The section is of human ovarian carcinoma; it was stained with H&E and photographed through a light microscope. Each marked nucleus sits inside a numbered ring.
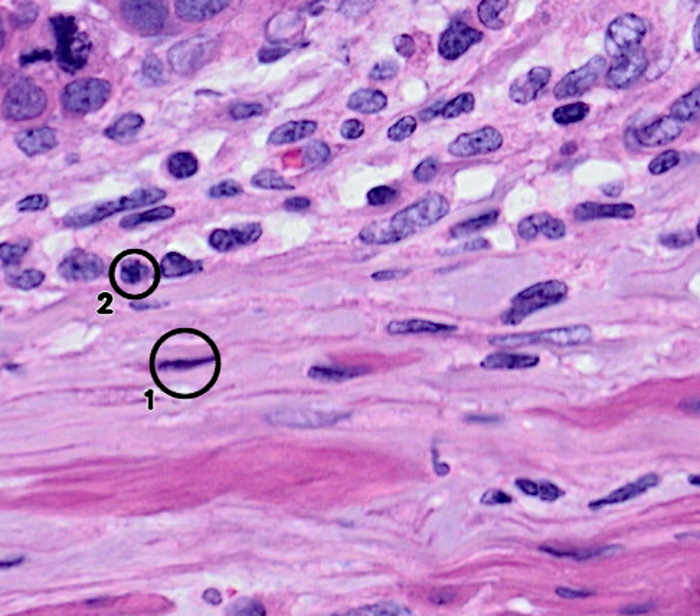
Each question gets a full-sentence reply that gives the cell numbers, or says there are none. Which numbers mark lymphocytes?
Cell 2 stands alone among the numbered cells as a lymphocyte.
